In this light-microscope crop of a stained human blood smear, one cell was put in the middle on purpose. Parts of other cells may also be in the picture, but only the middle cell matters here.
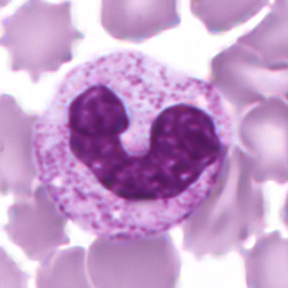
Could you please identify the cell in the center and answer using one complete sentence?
Among the cells in view, the one in the middle is a band neutrophil.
